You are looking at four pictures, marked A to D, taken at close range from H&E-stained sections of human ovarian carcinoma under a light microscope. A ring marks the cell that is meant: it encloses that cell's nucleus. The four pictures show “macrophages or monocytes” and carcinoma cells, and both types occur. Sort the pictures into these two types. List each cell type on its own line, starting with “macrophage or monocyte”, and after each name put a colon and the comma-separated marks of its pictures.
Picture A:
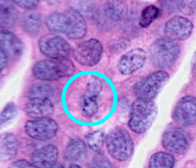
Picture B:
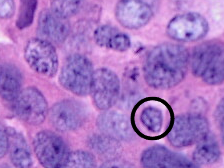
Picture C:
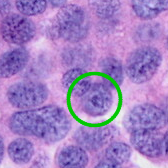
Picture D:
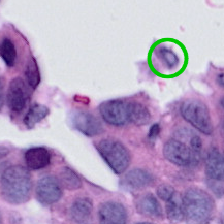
macrophage or monocyte: A, B, D
carcinoma cell: C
